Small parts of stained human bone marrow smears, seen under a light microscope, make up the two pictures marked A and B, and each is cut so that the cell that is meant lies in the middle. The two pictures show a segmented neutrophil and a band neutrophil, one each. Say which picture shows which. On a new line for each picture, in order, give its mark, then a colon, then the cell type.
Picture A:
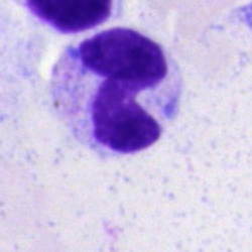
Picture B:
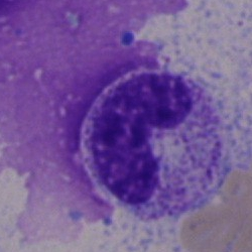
A: segmented neutrophil
B: band neutrophil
